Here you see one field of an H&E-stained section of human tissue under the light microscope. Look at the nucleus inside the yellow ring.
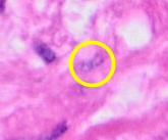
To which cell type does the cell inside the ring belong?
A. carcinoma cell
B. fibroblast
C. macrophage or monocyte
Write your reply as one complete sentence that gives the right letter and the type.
Right answer, option B: the cell inside the ring is a fibroblast.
